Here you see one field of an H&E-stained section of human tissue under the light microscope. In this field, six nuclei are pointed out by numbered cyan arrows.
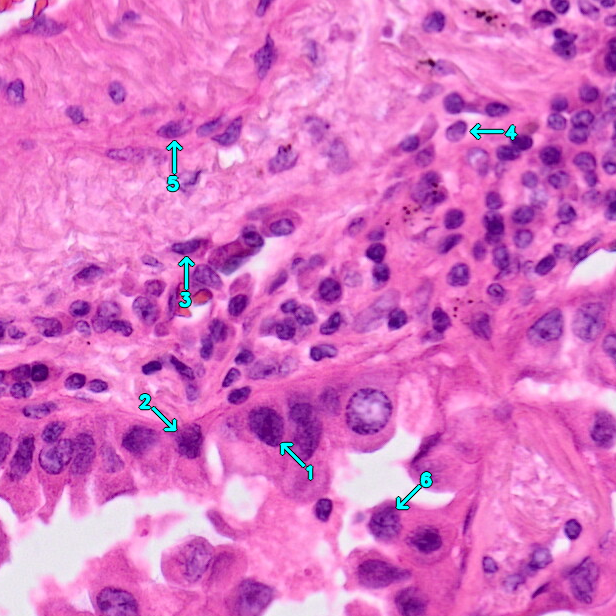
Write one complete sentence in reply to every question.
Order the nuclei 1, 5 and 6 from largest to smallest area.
From largest to smallest, the order is 1, 6, 5.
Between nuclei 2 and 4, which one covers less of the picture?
Nucleus 4 covers less area, with nucleus 2 about 2 times as large.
